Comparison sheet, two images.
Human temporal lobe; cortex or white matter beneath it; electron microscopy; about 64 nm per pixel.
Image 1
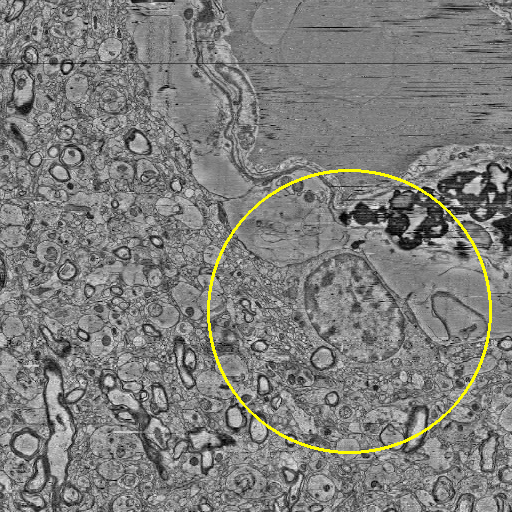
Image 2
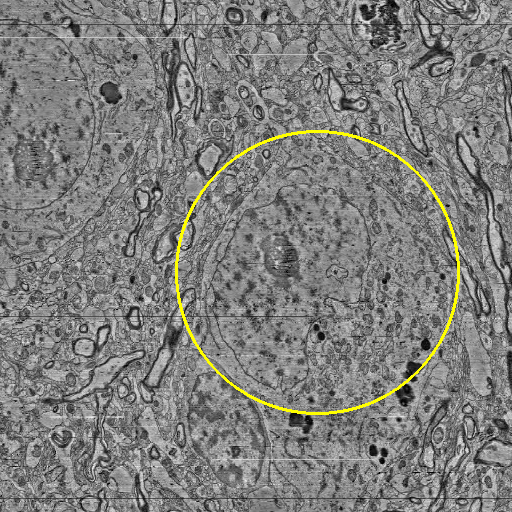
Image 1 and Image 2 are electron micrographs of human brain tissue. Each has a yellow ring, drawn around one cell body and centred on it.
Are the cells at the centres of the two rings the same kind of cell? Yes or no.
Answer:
no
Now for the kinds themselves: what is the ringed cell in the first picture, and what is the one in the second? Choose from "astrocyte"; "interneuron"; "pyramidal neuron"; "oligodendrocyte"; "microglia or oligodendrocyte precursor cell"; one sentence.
Here the first cell is an oligodendrocyte and the second cell is a pyramidal neuron.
